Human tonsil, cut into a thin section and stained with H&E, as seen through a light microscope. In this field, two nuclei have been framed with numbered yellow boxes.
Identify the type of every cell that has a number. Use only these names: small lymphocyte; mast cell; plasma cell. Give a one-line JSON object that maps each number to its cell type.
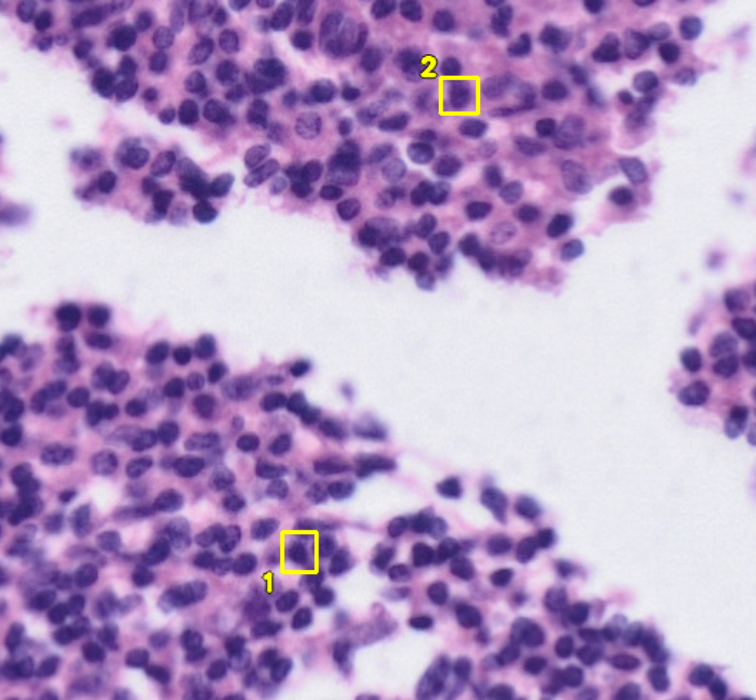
{"1": "small lymphocyte", "2": "plasma cell"}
